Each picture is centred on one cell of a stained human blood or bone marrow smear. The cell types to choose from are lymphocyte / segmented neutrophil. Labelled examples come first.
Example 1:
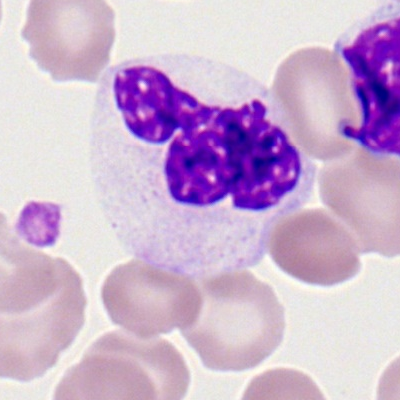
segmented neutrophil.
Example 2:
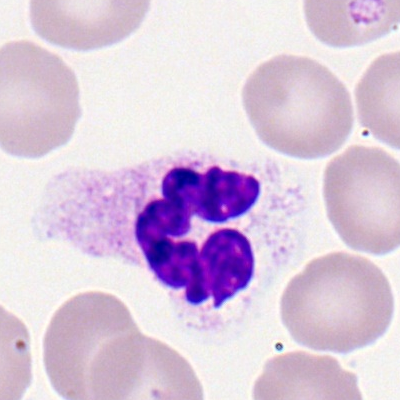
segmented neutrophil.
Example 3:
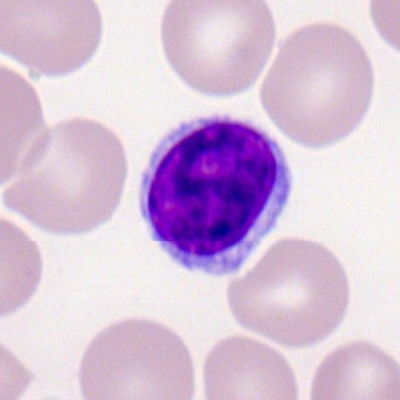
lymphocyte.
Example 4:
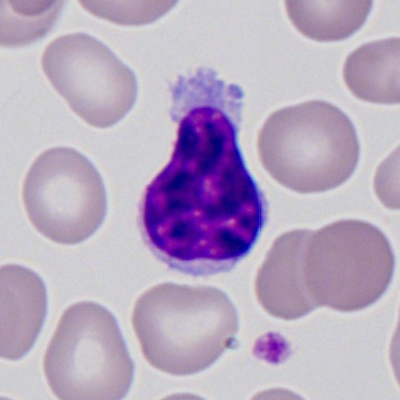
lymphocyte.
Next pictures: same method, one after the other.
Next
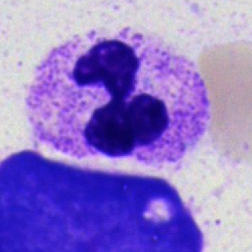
segmented neutrophil.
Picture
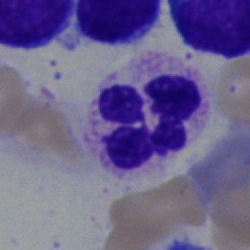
segmented neutrophil.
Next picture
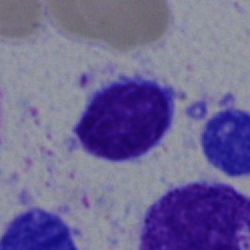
lymphocyte.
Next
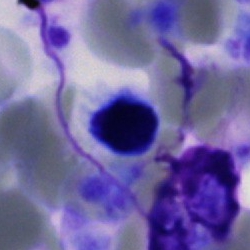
lymphocyte.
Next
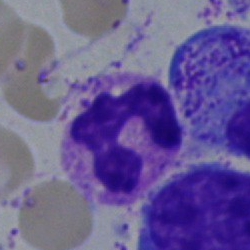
segmented neutrophil.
